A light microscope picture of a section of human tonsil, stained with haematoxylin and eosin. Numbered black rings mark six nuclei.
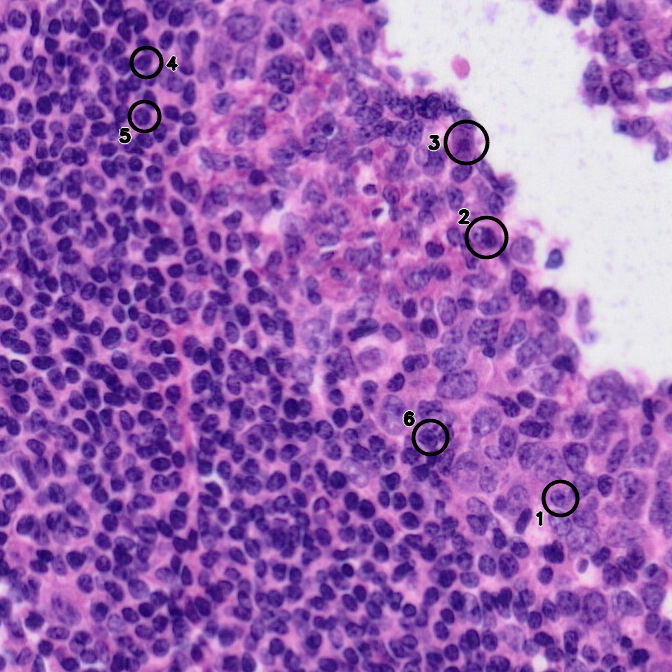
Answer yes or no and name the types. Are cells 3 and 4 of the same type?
No, cell 3 is a proliferating B cell and cell 4 is a small lymphocyte.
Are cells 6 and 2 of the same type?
Yes, both are proliferating B cells.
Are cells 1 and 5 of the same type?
No, cell 1 is a proliferating B cell and cell 5 is a small lymphocyte.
